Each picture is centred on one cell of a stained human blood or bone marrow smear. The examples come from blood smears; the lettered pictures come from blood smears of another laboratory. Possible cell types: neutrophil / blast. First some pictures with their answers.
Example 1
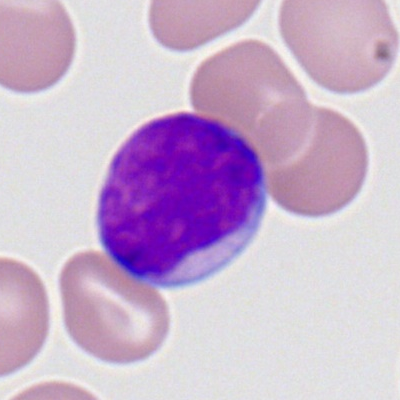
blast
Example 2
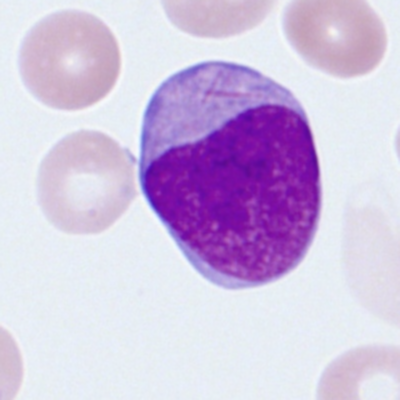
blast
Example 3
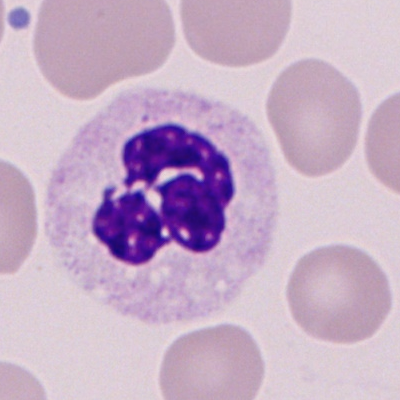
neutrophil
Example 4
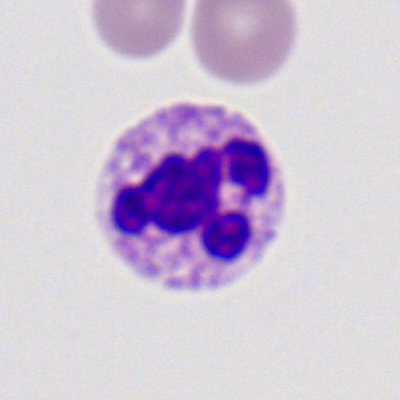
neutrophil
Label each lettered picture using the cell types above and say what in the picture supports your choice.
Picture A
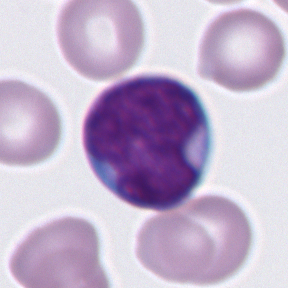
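Answer: blast. The cytoplasm is a scant pale blue rim, seen mainly at the lower left.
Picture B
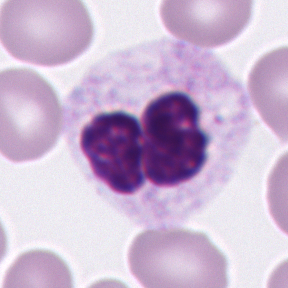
Answer: neutrophil. The nucleus is made of two lobes lying side by side.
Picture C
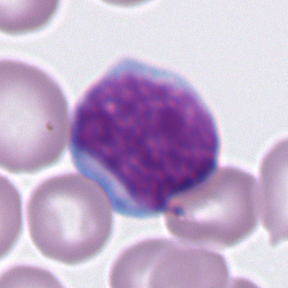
Answer: blast. The cytoplasm forms only a narrow rim around the nucleus.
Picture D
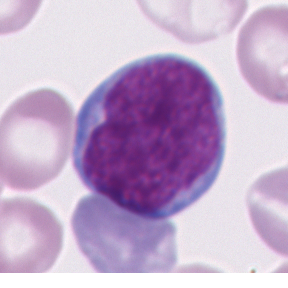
Answer: blast. The nucleus fills most of the cell.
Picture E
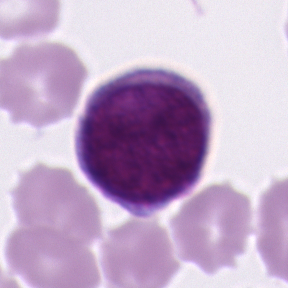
Answer: blast. The cytoplasm forms only a very thin rim around the nucleus.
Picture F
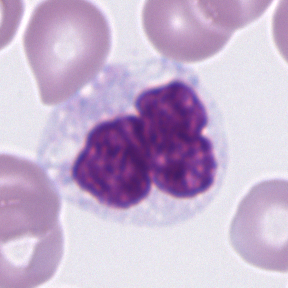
Answer: neutrophil. The cytoplasm forms a broad, very pale bluish-grey rim around the nucleus.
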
